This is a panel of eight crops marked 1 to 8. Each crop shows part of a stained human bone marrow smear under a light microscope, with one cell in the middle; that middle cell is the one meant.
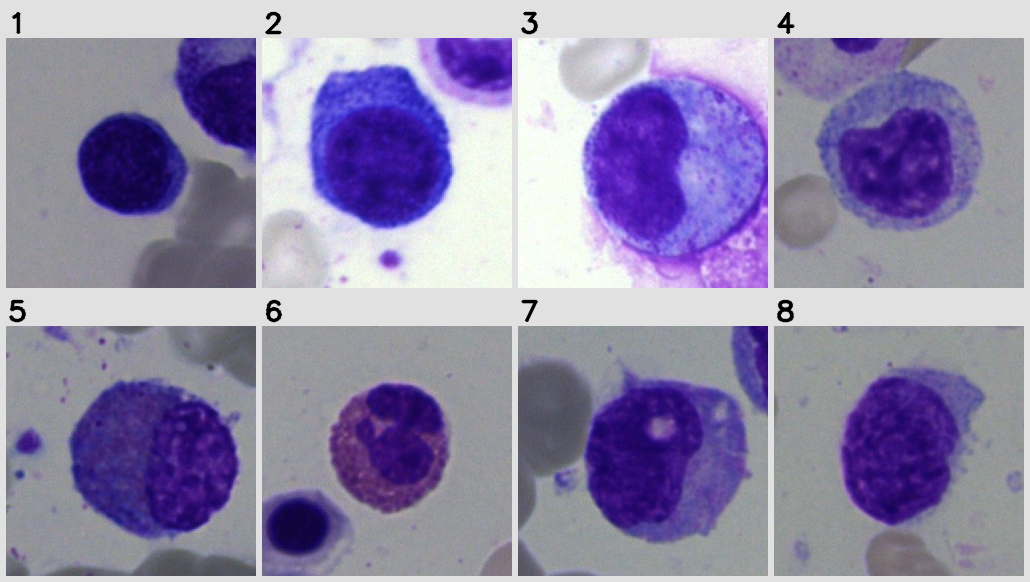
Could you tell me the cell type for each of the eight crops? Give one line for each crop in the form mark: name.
1: lymphocyte
2: proerythroblast
3: metamyelocyte
4: metamyelocyte
5: eosinophil
6: eosinophil
7: monocyte
8: hairy cell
